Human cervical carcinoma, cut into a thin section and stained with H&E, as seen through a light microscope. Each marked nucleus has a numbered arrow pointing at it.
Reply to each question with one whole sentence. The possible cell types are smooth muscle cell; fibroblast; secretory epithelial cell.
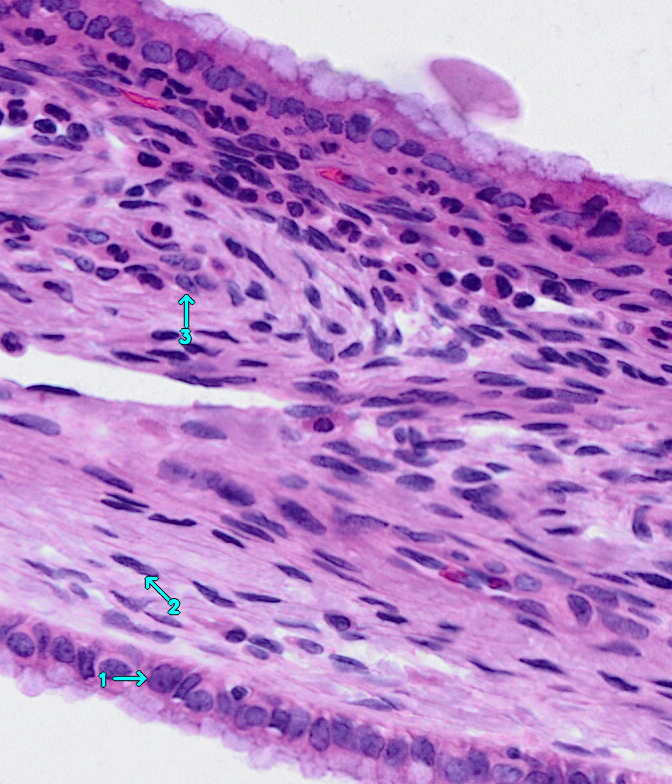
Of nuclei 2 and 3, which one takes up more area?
It is nucleus 2, which covers about 2 times the area of nucleus 3.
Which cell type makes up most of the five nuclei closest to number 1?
The majority of the five nuclei closest to number 1 belong to secretory epithelial cells.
